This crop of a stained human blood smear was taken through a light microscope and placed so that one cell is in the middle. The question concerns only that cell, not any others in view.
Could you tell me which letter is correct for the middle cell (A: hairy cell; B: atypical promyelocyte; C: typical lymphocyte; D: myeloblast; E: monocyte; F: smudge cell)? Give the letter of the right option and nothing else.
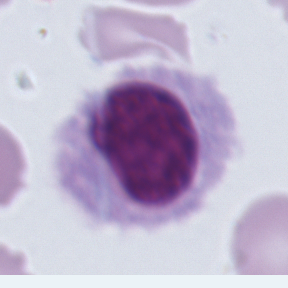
A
